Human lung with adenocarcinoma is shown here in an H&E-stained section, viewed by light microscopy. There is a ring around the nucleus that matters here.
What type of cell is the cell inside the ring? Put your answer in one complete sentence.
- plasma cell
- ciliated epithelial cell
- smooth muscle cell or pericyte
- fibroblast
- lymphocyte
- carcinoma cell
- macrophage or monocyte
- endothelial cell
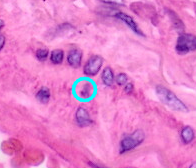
It is as a smooth muscle cell or pericyte that the cell inside the ring is classified.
